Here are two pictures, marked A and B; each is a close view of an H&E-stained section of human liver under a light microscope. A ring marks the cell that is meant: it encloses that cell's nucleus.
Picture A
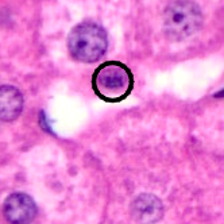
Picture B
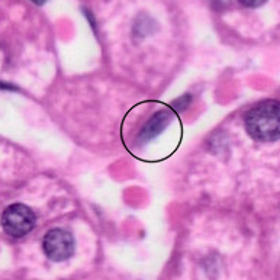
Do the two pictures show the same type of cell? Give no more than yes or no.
yes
